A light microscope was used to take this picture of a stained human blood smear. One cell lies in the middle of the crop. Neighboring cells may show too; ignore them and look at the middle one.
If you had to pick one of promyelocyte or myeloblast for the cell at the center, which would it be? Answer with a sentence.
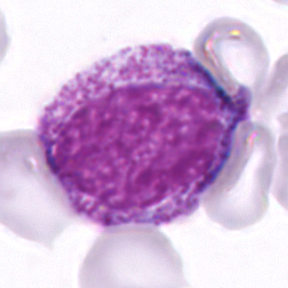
At the crop's centre, the cell is a promyelocyte.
